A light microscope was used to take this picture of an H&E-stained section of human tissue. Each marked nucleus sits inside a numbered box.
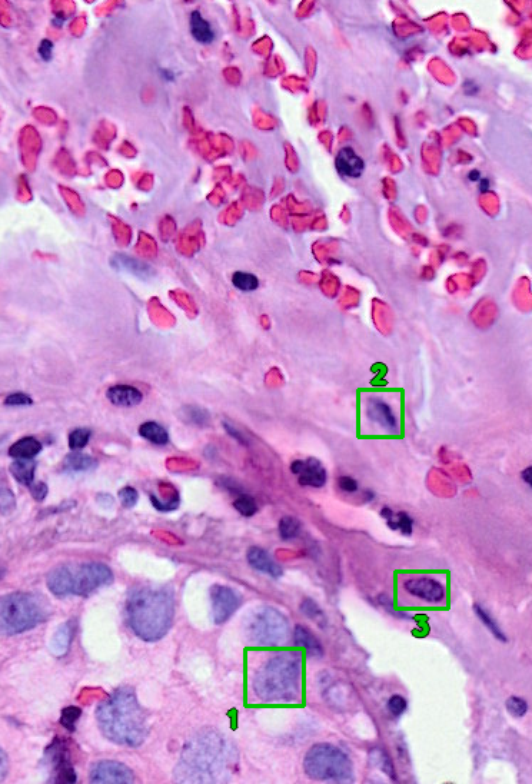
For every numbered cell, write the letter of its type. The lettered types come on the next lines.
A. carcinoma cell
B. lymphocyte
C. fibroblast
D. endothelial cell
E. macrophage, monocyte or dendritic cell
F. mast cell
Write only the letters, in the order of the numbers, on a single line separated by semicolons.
A; C; F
